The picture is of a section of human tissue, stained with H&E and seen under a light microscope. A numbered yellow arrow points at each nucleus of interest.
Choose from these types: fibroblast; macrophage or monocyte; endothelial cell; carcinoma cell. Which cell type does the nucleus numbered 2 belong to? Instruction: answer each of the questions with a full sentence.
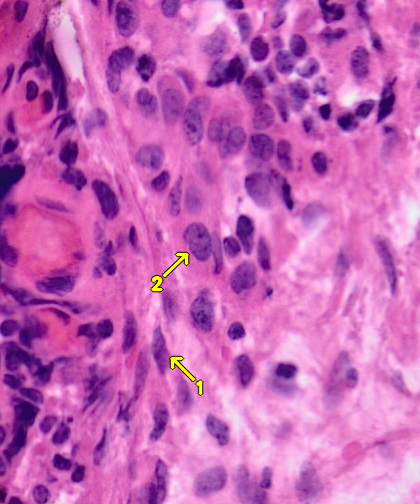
The one labeled 2 is a carcinoma cell, to put it simply.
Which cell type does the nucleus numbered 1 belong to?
The cell referenced by the number 1 is a fibroblast in this field.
